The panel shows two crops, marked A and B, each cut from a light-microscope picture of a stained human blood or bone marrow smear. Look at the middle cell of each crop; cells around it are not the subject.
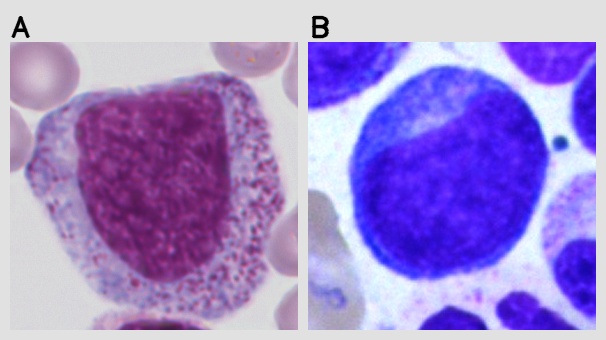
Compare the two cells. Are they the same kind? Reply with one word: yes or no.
no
